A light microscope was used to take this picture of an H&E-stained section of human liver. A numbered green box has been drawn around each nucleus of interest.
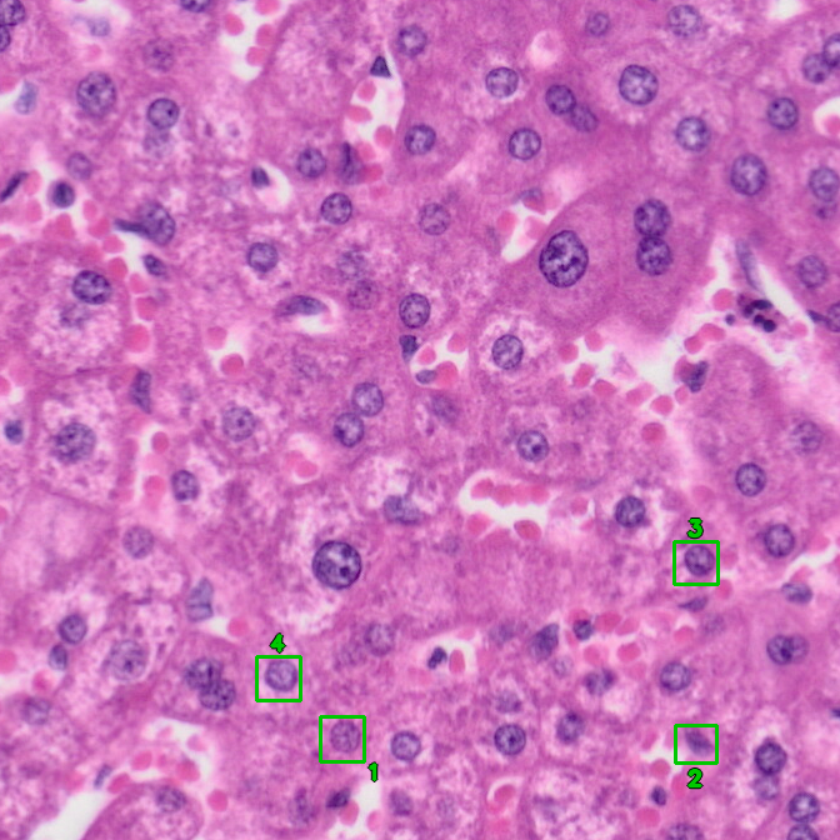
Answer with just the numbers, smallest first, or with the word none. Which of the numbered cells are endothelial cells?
2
